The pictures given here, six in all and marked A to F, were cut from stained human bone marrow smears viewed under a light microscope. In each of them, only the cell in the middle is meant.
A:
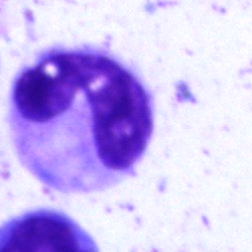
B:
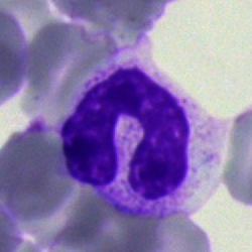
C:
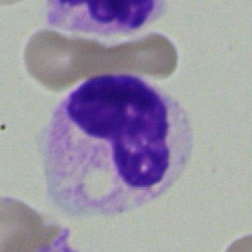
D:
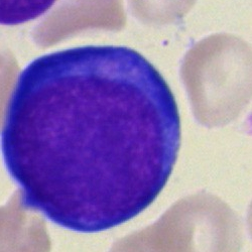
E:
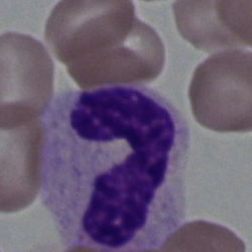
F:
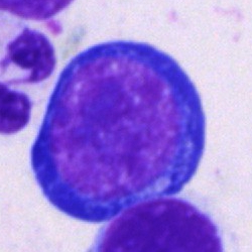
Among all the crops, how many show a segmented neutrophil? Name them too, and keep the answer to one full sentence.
No crop contains segmented neutrophils, and the count therefore stands at zero.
